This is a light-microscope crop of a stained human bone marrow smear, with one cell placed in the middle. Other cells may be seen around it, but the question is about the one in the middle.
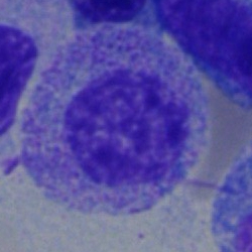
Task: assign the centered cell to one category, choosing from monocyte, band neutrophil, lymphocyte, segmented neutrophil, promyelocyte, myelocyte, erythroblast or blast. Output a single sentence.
The middle cell in this particular crop is a myelocyte.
